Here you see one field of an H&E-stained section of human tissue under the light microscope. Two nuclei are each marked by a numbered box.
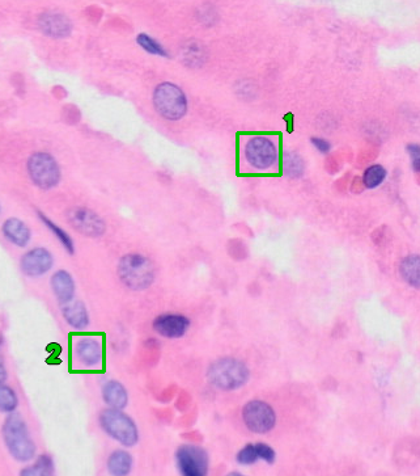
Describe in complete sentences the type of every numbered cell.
Cell 1 is a proximal tubule cell. Cell 2 is a collecting duct cell.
